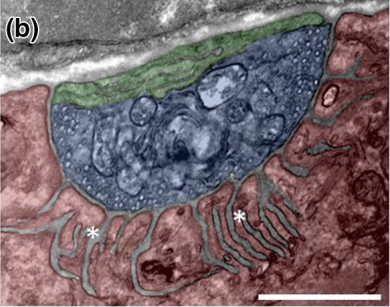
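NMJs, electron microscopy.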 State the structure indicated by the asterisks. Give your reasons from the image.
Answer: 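The asterisks lie on deep narrow folds of the muscle surface. The folds lie directly beneath a vesicle-filled nerve terminal. On this evidence: postsynaptic area.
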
